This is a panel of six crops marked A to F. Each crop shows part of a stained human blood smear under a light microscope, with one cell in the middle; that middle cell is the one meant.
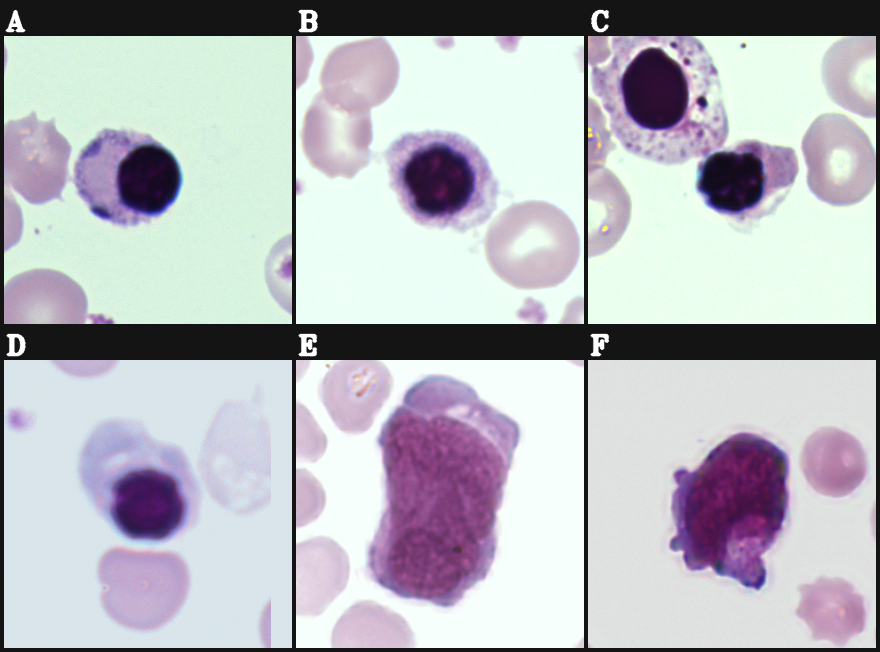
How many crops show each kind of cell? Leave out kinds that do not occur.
normoblast: 4
atypical promyelocyte: 2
